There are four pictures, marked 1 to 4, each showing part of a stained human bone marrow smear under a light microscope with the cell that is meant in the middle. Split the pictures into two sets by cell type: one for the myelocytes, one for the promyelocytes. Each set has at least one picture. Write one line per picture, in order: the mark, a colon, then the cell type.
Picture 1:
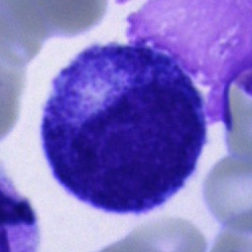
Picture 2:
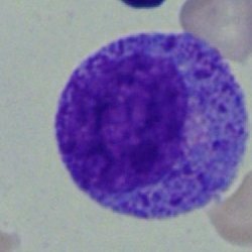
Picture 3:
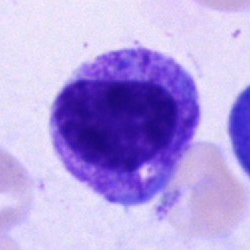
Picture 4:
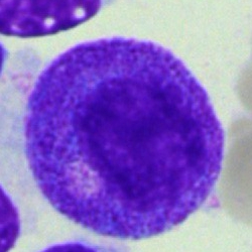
1: promyelocyte
2: promyelocyte
3: myelocyte
4: promyelocyte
